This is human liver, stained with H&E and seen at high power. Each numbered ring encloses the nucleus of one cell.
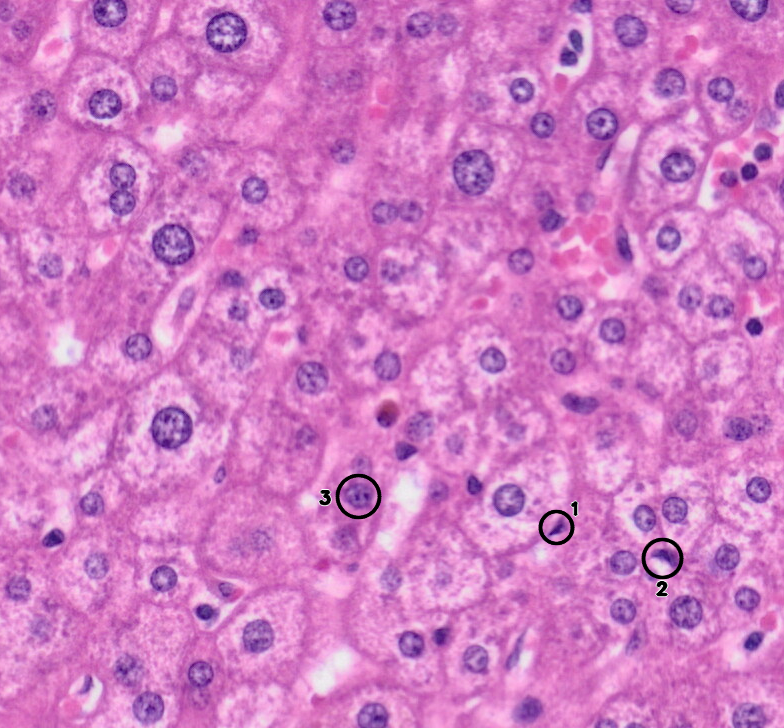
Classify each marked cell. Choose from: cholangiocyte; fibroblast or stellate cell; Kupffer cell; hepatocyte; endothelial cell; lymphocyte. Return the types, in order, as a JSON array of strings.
["endothelial cell", "endothelial cell", "hepatocyte"]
